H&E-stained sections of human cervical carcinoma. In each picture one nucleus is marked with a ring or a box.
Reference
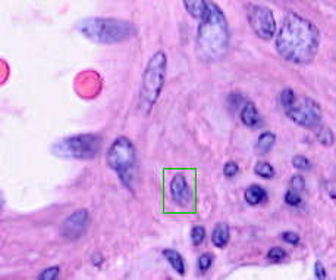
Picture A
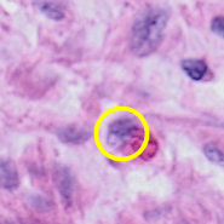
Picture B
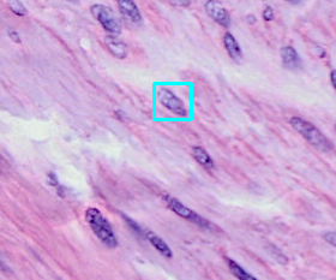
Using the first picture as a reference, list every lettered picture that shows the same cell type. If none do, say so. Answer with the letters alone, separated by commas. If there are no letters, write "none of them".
B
